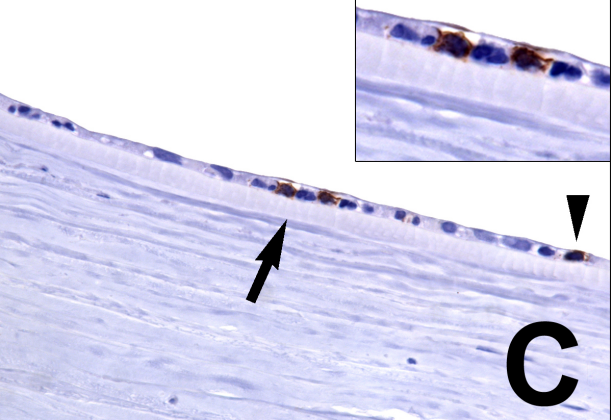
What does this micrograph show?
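Along the corneal endothelium a row of cells with dark blue nuclei lies on a pale band over the lamellar stroma. The stroma below shows parallel lamellae with sparse flattened nuclei.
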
